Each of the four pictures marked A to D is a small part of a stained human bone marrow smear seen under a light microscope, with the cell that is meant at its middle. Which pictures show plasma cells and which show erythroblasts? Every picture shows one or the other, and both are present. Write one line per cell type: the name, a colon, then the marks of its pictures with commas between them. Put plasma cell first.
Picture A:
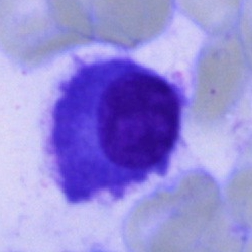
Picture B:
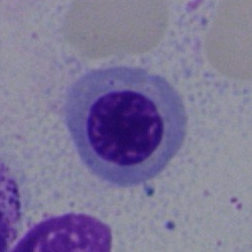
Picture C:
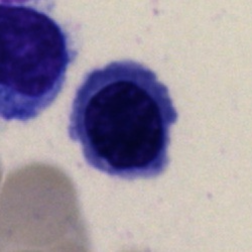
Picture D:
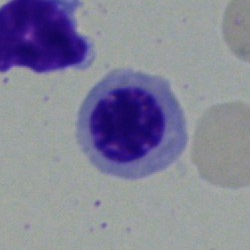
plasma cell: A
erythroblast: B, C, D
